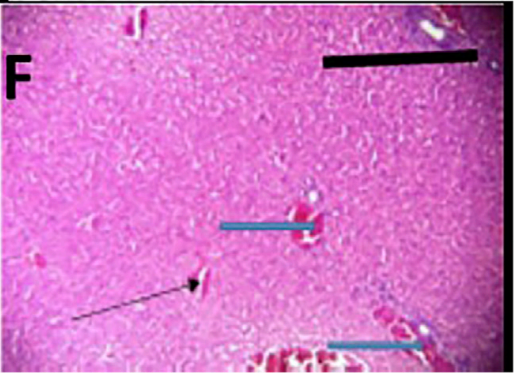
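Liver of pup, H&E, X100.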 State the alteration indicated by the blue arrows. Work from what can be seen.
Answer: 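Small vessels contain red cells. The vessels are small within a large field of parenchyma. The answer: mild vascular congestion.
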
